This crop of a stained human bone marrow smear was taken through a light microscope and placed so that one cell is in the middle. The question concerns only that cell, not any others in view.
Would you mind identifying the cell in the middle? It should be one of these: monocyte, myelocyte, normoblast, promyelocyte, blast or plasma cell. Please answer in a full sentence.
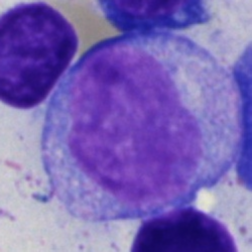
The central cell in this smear crop is a blast.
